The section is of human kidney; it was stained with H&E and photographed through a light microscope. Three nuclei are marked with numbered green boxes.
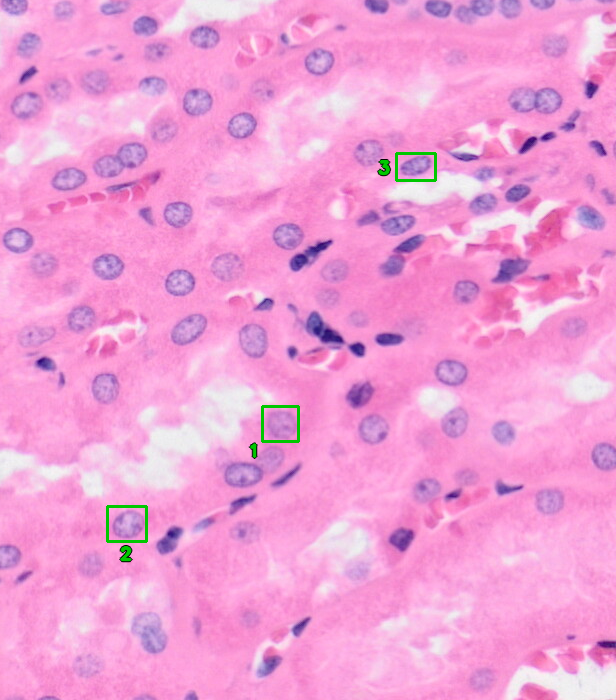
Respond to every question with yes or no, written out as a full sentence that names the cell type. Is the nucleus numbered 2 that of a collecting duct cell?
No, number 2 does not mark a collecting duct cell; it marks a proximal tubule cell.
